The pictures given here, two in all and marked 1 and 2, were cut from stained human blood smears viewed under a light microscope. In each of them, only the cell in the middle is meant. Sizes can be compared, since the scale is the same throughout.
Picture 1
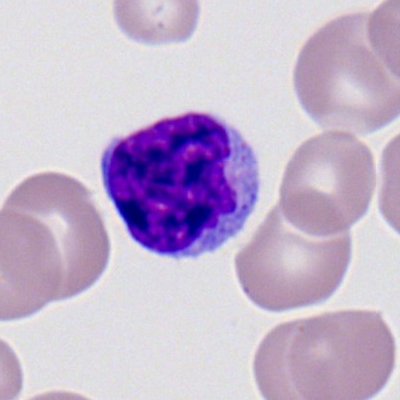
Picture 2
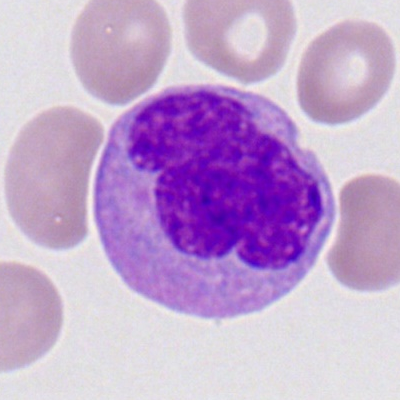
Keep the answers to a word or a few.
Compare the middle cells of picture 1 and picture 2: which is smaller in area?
1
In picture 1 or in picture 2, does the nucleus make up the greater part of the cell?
1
